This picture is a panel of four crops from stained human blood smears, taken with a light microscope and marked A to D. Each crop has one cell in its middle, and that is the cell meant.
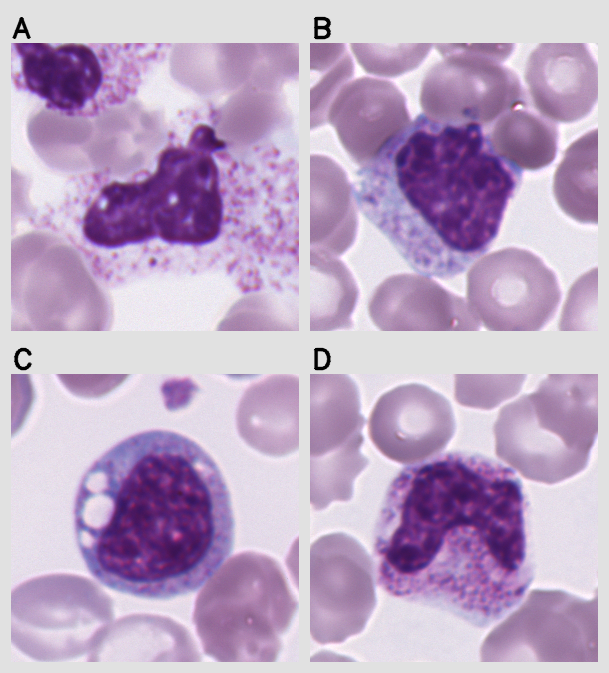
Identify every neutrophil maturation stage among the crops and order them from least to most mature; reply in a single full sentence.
The progression from least to most mature runs crop C (a promyelocyte), crop B (a myelocyte), crop D (a metamyelocyte) and crop A (a segmented neutrophil).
